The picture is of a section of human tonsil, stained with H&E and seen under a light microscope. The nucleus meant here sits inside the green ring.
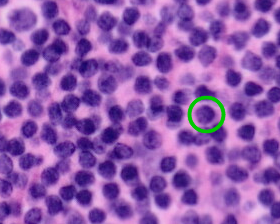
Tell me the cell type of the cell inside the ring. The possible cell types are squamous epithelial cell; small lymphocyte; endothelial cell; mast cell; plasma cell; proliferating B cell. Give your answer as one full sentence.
In cellular terms, the cell inside the ring is a small lymphocyte.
